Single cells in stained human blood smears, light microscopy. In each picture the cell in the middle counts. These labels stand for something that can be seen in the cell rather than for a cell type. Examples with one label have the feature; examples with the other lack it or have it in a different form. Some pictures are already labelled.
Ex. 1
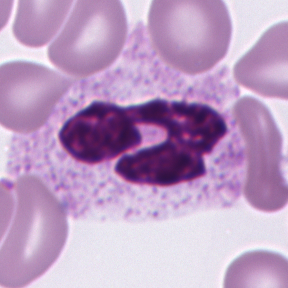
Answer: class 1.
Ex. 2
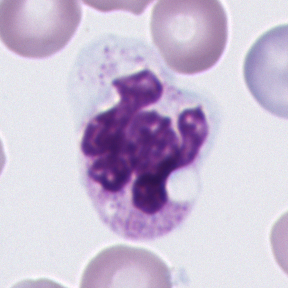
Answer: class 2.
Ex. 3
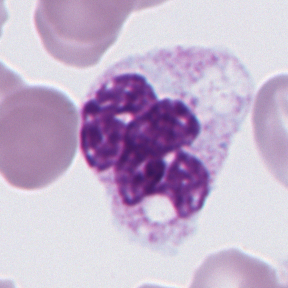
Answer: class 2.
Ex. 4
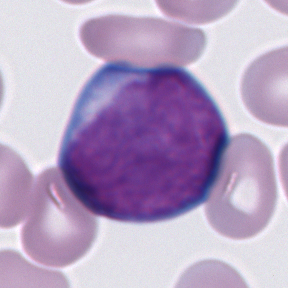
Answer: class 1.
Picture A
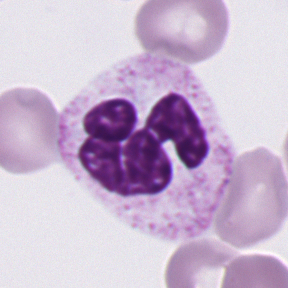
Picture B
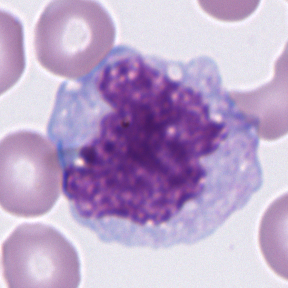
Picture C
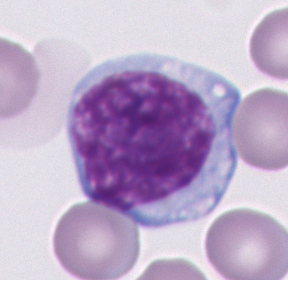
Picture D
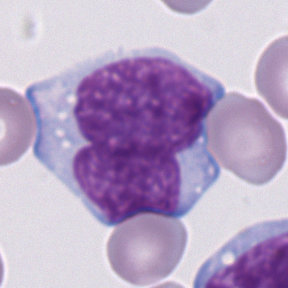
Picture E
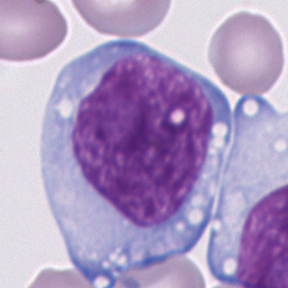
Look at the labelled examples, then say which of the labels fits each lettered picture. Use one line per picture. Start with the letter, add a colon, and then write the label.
A: class 1.
B: class 2.
C: class 2.
D: class 2.
E: class 2.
